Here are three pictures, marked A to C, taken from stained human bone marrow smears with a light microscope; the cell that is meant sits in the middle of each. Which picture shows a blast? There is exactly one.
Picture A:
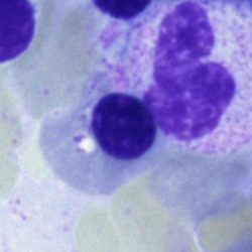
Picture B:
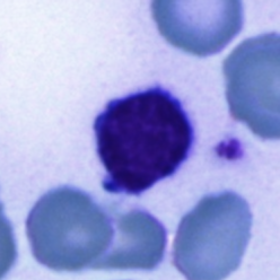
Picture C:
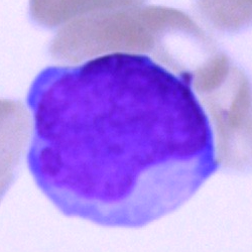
C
